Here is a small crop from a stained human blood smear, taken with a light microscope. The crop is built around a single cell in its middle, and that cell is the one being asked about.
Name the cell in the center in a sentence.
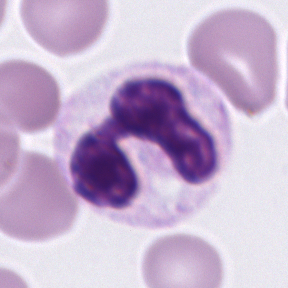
The cell sitting right in the middle is a segmented neutrophil.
